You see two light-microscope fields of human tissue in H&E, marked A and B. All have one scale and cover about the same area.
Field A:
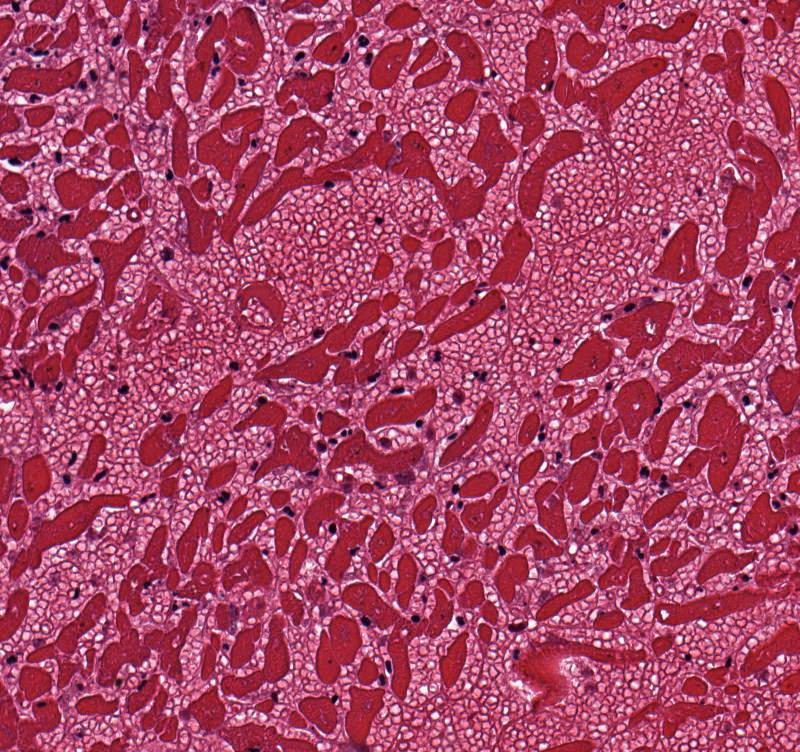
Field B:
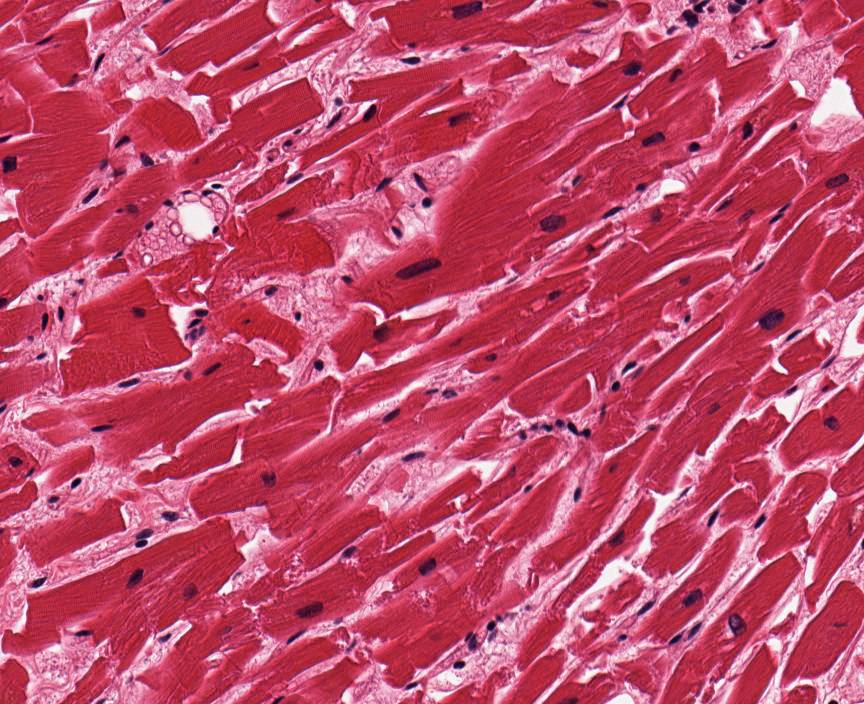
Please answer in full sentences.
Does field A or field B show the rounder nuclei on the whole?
Rounder nuclei lie in field A.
